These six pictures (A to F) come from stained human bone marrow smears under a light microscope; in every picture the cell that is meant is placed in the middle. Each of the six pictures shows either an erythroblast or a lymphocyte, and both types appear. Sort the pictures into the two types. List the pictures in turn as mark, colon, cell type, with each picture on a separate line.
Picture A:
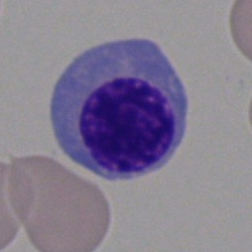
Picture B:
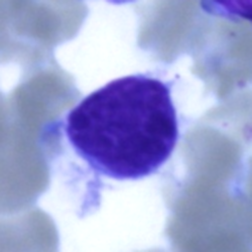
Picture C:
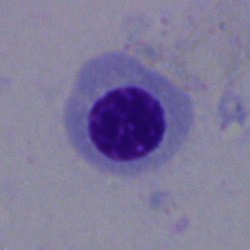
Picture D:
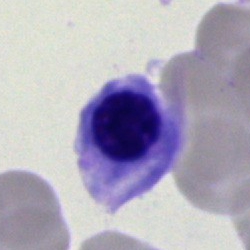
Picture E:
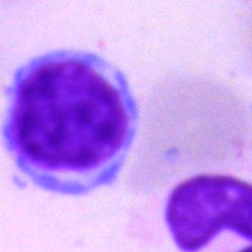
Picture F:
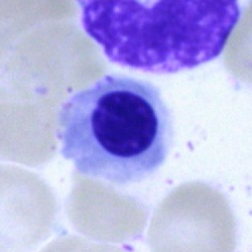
A: erythroblast
B: lymphocyte
C: erythroblast
D: erythroblast
E: lymphocyte
F: erythroblast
